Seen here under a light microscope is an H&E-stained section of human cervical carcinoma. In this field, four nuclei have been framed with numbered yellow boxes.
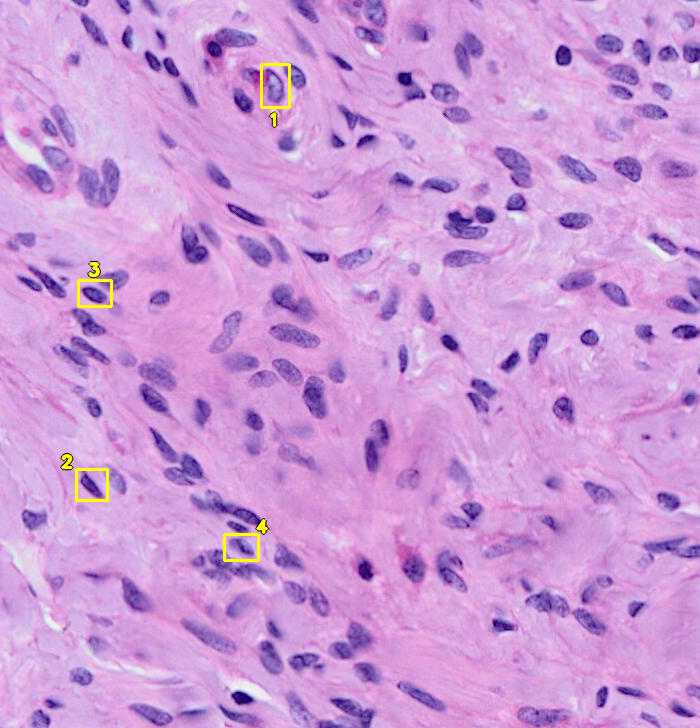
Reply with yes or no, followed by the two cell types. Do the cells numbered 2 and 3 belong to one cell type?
Yes, both are fibroblasts.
